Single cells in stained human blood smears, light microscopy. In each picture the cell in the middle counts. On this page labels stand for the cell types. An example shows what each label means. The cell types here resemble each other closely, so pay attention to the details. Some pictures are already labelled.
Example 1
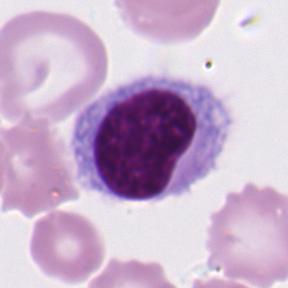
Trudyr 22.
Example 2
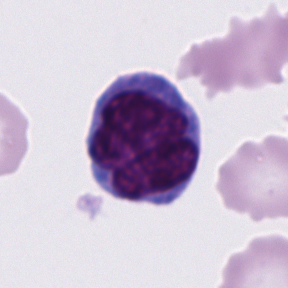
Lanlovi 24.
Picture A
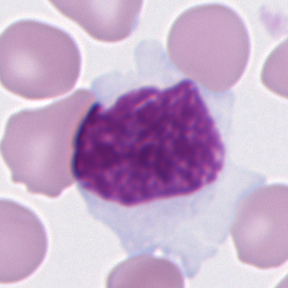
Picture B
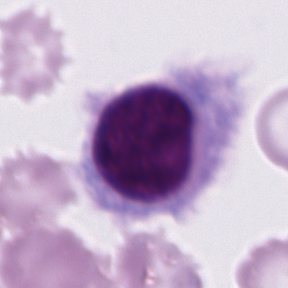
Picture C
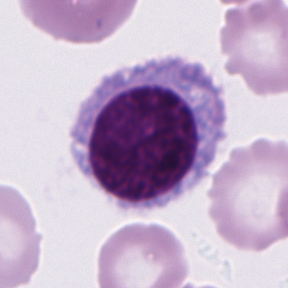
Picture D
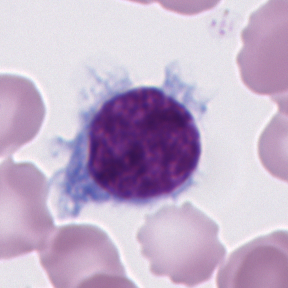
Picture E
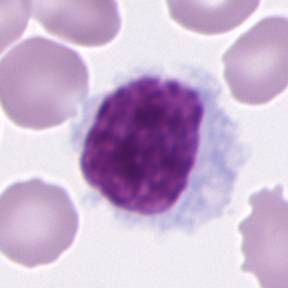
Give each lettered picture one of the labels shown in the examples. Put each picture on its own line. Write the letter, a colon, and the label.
A: Trudyr 22.
B: Trudyr 22.
C: Trudyr 22.
D: Trudyr 22.
E: Trudyr 22.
